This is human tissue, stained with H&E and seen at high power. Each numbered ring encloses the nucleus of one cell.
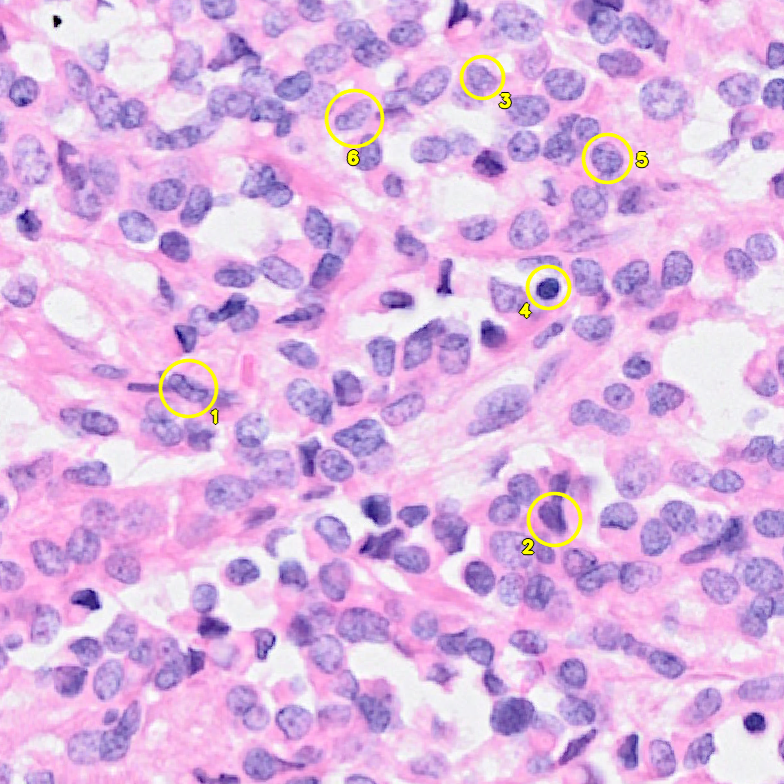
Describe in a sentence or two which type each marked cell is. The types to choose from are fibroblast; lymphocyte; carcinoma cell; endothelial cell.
Cell 1 is an endothelial cell, cell 2 is a carcinoma cell, cell 3 is a carcinoma cell, cell 4 is a lymphocyte, cell 5 is a carcinoma cell and cell 6 is a carcinoma cell.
